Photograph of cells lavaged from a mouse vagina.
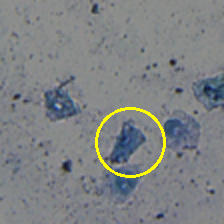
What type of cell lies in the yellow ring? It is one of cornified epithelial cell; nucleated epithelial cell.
The ringed cell is a cornified epithelial cell.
